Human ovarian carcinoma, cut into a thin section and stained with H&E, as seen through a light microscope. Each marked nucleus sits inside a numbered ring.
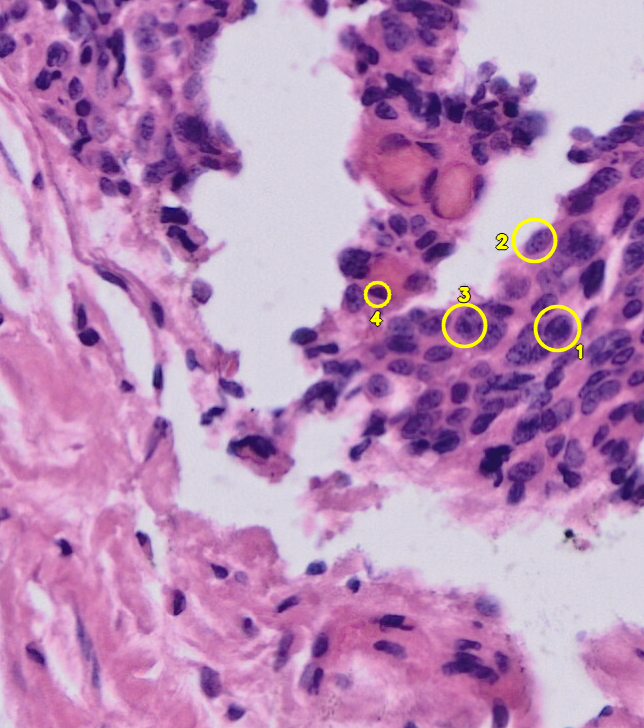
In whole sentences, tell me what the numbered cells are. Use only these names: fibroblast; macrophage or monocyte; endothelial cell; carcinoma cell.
Cell 1 is a carcinoma cell, cell 2 is a carcinoma cell, cell 3 is a carcinoma cell and cell 4 is an endothelial cell.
